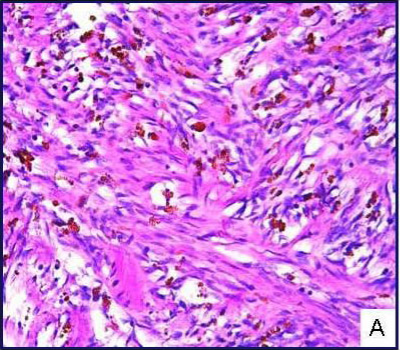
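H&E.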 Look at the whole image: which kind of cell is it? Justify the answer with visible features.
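Spindle cells. Cells with elongated, tapered nuclei. The cells run in bundles that cross one another in different directions.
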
